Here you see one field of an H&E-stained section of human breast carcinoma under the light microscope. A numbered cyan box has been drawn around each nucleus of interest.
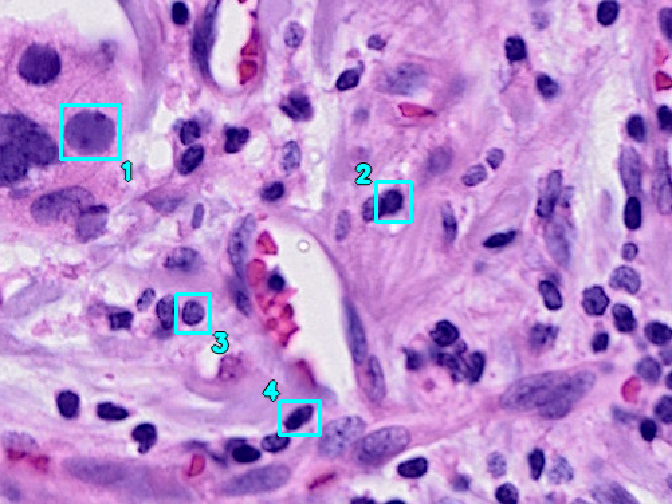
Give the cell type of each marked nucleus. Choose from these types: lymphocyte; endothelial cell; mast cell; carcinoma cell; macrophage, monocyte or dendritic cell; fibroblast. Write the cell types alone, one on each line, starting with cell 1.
carcinoma cell
lymphocyte
lymphocyte
lymphocyte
